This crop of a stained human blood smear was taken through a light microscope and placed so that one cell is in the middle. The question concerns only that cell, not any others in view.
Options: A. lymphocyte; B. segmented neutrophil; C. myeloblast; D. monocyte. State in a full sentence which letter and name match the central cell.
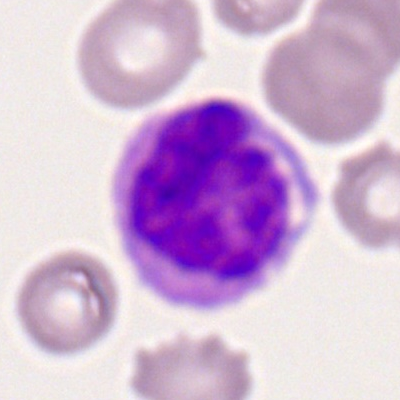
The right choice is option D: the cell in the middle is a monocyte.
